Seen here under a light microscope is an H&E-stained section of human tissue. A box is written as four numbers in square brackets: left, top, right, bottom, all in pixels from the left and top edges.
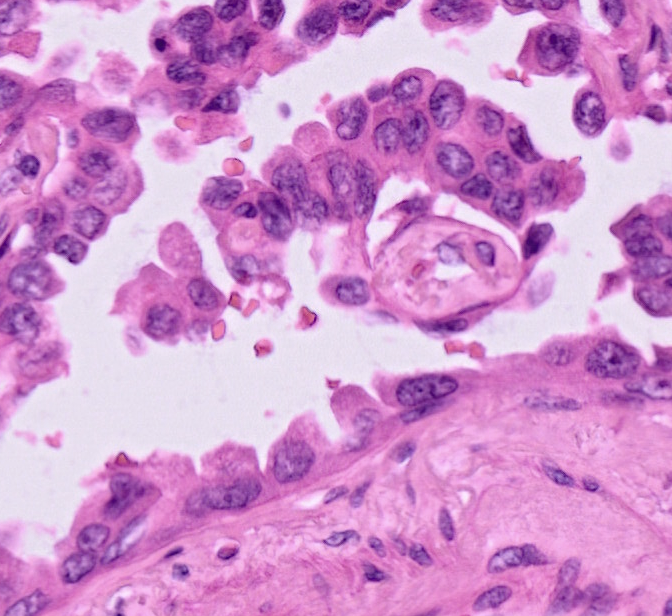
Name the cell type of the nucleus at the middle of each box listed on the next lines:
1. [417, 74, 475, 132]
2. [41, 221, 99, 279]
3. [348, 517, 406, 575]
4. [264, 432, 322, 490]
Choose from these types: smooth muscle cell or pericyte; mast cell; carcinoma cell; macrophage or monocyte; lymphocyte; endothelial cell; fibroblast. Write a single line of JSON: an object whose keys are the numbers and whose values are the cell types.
{"1": "carcinoma cell", "2": "carcinoma cell", "3": "smooth muscle cell or pericyte", "4": "carcinoma cell"}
